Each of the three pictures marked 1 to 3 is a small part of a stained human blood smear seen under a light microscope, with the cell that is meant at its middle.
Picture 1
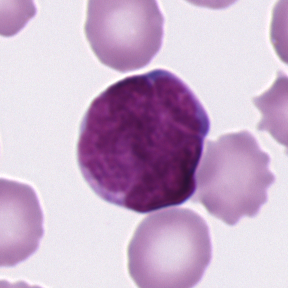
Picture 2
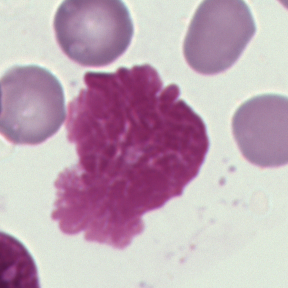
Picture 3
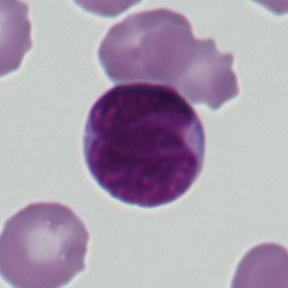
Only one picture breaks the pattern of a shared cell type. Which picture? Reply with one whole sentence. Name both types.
The different one is picture 2; it shows a smudge cell, whereas all the others show myeloblasts.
